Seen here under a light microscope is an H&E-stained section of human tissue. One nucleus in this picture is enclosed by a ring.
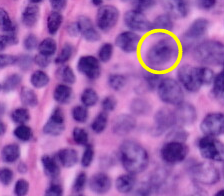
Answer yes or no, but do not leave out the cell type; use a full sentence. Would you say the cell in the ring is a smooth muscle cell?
No, it is a proliferating B cell, not a smooth muscle cell, that the cell in the ring represents.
